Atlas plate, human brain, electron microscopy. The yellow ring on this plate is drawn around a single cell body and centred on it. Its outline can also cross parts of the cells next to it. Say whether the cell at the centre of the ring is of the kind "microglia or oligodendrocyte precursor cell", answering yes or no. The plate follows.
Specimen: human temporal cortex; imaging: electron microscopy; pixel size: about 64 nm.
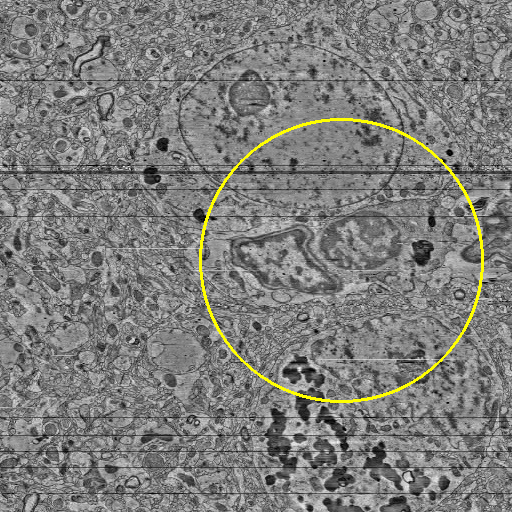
No, the cell is of another kind.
